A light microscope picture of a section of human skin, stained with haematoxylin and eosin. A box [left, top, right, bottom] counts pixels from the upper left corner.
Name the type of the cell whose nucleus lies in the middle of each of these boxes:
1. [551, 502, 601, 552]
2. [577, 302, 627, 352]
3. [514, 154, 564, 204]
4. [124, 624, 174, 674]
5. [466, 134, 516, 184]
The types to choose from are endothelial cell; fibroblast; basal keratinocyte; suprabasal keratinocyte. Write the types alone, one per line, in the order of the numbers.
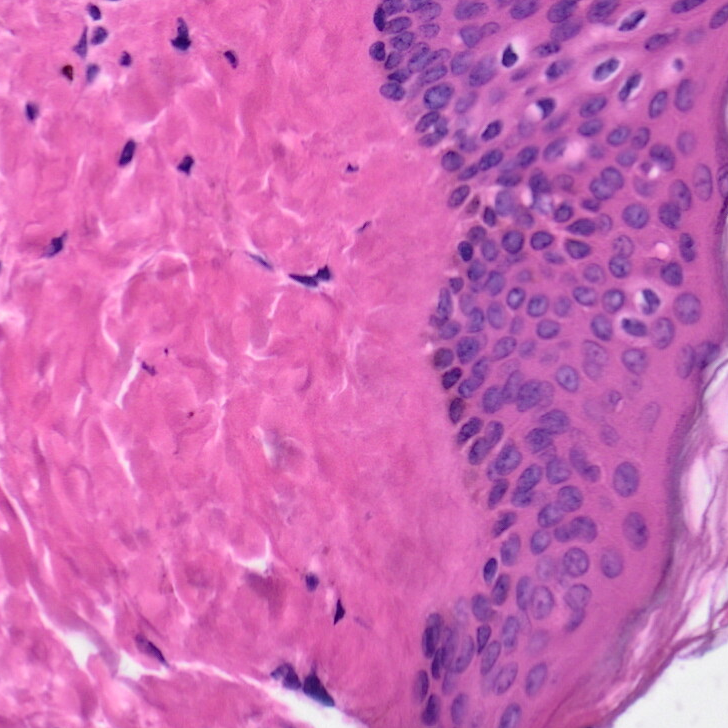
suprabasal keratinocyte
suprabasal keratinocyte
basal keratinocyte
fibroblast
basal keratinocyte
